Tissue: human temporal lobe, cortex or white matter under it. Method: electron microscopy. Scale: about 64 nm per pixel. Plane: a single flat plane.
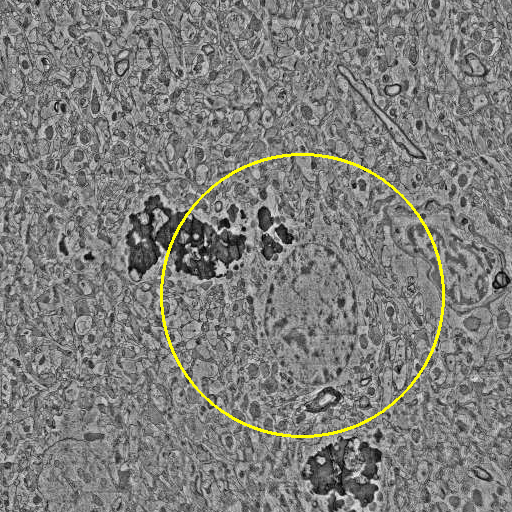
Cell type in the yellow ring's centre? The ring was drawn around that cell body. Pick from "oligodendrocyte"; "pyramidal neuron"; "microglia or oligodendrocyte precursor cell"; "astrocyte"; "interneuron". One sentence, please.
The ringed cell body is that of an astrocyte.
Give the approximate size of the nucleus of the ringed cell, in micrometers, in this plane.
Roughly 9 micrometres by 6 micrometres, in this plane.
